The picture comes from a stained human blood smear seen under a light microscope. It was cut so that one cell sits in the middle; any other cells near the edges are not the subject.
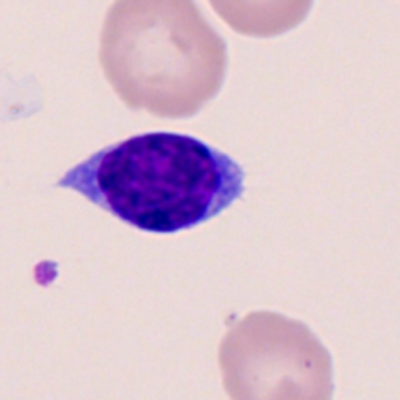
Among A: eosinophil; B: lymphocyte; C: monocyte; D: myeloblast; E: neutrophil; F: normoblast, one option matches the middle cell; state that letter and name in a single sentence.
In the centre of the crop there is a lymphocyte, making option B correct.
